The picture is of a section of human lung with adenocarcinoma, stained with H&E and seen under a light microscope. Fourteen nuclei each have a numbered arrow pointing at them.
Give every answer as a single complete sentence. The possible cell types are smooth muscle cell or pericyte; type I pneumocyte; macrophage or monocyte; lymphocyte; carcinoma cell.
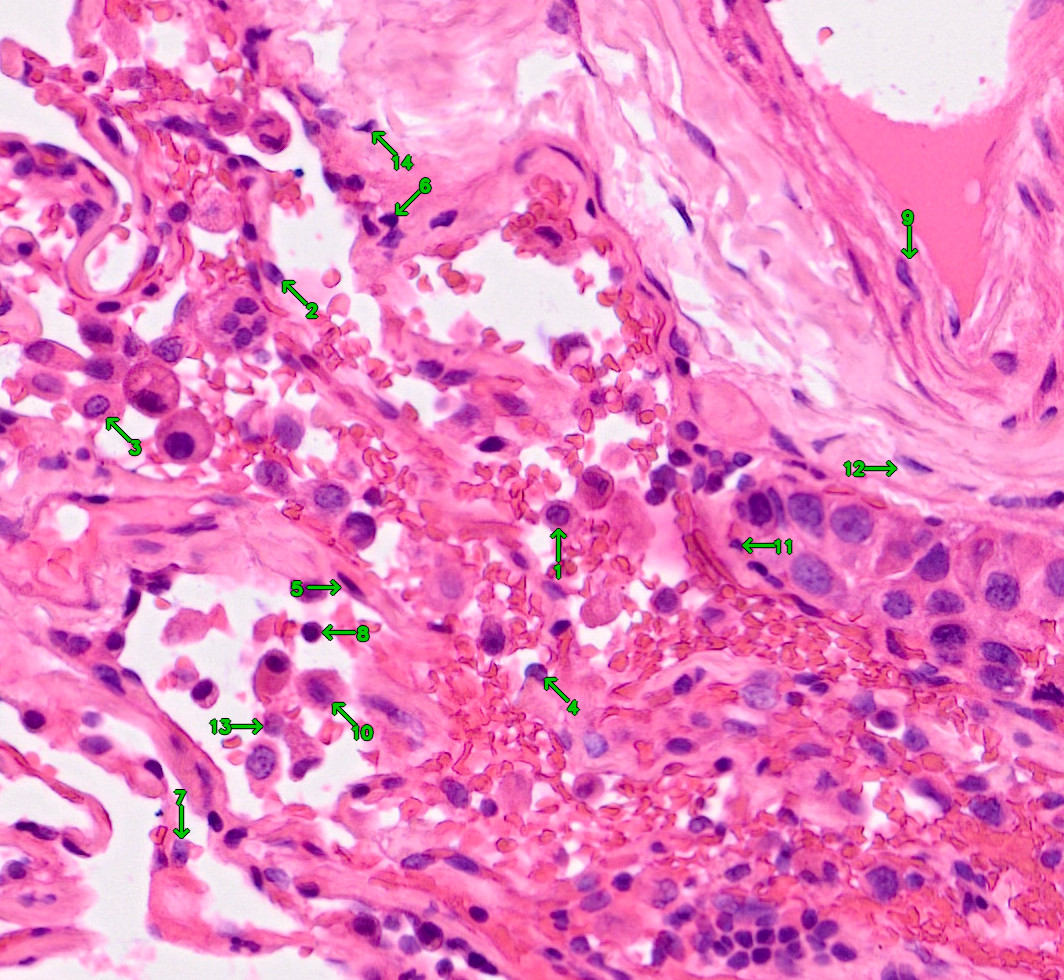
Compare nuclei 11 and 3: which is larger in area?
Nucleus 3 is the larger one, covering about 4 times the area of nucleus 11.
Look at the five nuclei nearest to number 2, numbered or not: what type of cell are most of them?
The majority of the five nuclei closest to number 2 belong to macrophages or monocytes.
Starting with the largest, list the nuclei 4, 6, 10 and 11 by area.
Going from the biggest nucleus down to the smallest gives 10, 4, 6, 11.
